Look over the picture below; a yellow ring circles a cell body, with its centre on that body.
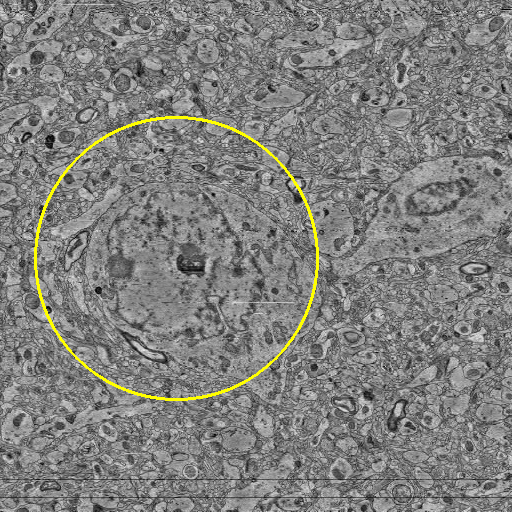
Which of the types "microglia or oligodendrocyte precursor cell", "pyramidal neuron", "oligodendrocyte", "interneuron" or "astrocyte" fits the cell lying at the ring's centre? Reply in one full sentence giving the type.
The picture shows an interneuron at the centre of the yellow ring.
